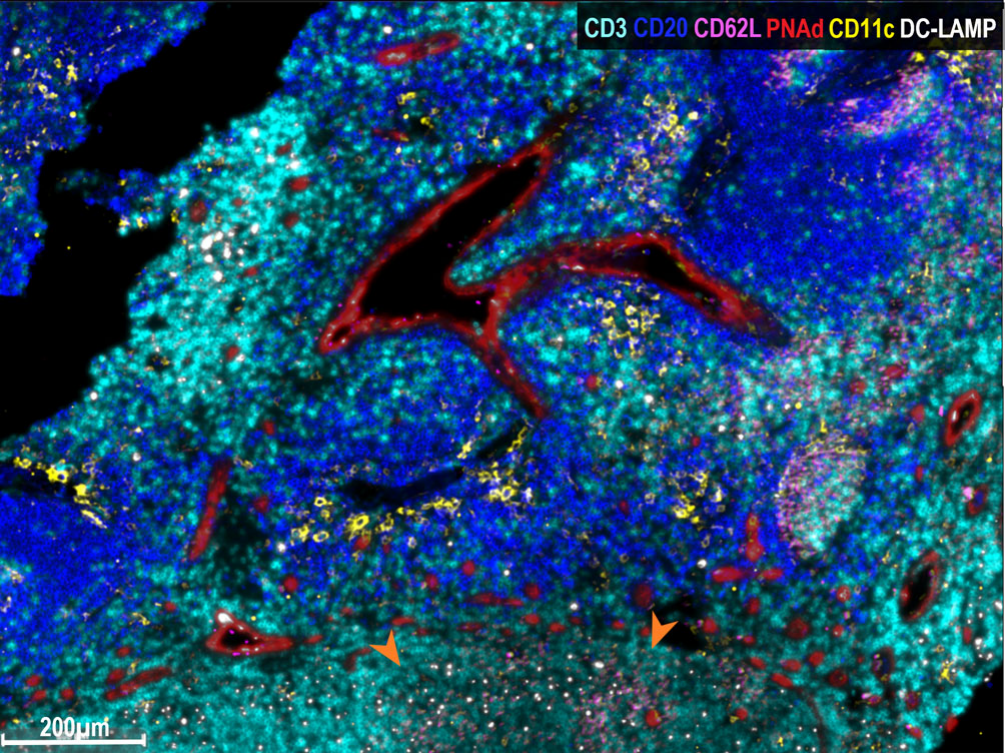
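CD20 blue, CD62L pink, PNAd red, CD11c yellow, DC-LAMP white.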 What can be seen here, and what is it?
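This is a section of lymph node tissue in which densely packed small round lymphocytes fill the field, arranged in regions dominated by blue and regions dominated by cyan. Vessels with red-outlined walls run through the tissue, including large branching channels with empty lumens in the centre and many small oval red profiles, which are crowded in a band across the lower part of the image. Yellow cells with ring-like outlines cluster beside several of the vessels, and bright white dots lie scattered among the lymphocytes, most densely in the lower cyan region, where a faint pink speckling is also seen.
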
